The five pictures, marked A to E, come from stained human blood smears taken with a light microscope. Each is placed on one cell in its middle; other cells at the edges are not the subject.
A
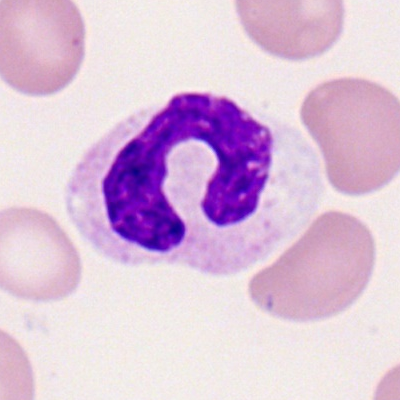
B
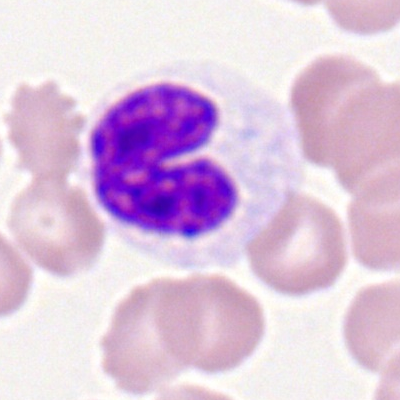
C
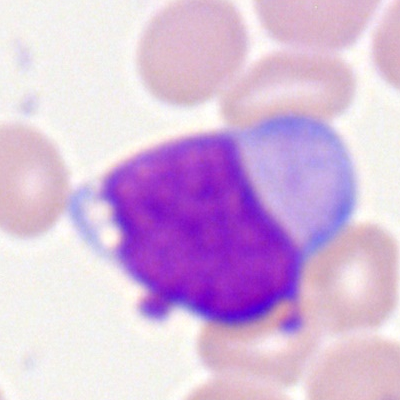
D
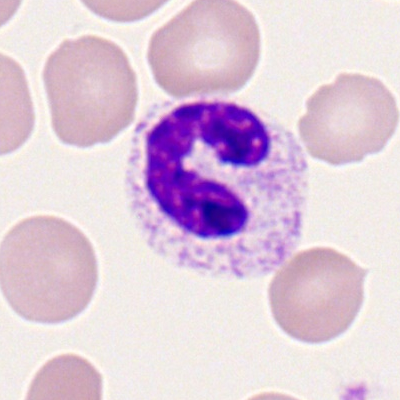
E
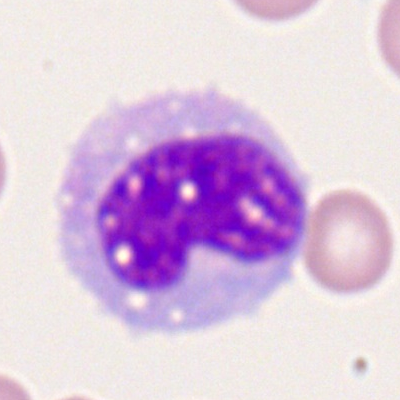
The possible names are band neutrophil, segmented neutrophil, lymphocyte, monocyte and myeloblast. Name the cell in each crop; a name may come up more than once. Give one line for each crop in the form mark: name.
A: band neutrophil
B: band neutrophil
C: myeloblast
D: band neutrophil
E: monocyte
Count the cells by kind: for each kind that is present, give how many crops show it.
band neutrophil: 3
myeloblast: 1
monocyte: 1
